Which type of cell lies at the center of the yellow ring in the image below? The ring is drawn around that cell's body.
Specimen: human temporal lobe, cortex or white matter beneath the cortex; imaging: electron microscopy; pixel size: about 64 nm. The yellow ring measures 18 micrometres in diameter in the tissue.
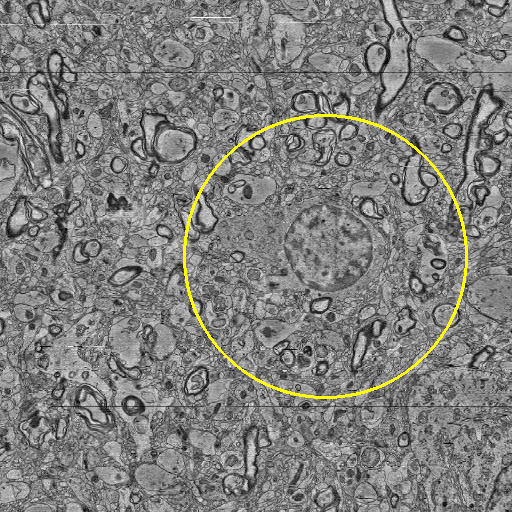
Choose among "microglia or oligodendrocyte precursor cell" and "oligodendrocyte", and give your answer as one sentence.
The cell body at the center belongs to an oligodendrocyte.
